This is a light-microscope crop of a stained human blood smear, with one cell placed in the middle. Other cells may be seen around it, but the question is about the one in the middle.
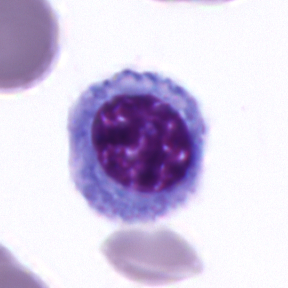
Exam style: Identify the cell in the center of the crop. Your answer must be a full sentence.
At the crop's centre, the cell is a plasma cell.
